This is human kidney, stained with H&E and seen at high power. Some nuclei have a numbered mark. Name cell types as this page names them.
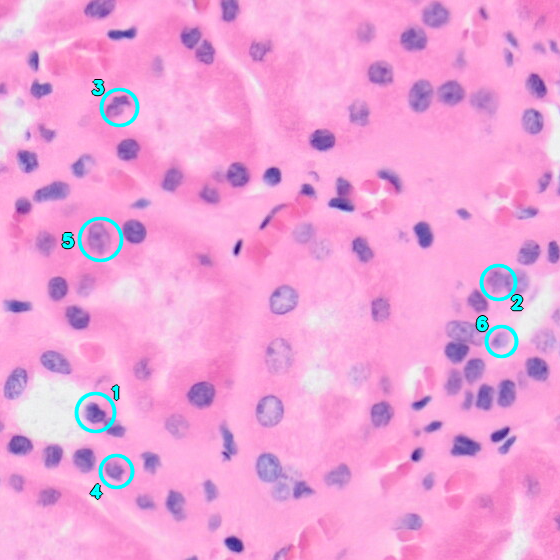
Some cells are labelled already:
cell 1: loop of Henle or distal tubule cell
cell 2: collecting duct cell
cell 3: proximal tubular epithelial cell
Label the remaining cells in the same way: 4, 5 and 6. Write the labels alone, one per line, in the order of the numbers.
loop of Henle or distal tubule cell
proximal tubular epithelial cell
collecting duct cell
